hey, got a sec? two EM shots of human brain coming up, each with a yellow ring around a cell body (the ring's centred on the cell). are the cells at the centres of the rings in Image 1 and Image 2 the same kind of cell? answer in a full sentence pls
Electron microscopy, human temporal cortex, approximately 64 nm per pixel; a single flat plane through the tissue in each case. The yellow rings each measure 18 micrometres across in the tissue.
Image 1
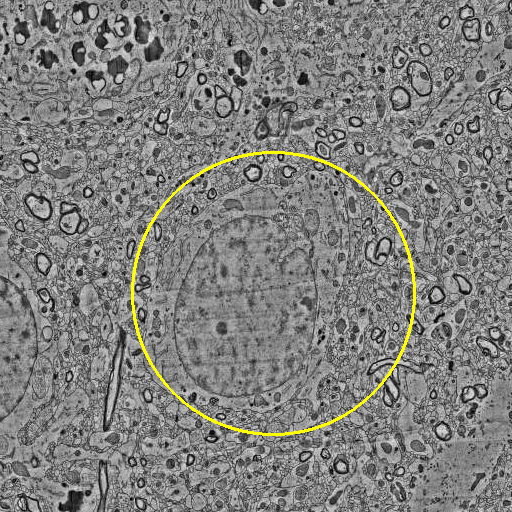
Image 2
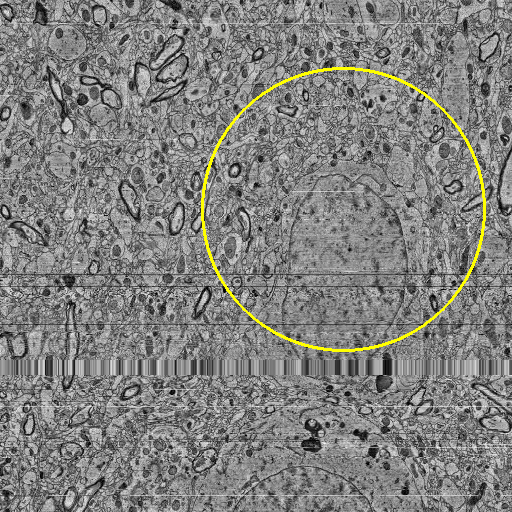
Yes, both are the same kind of cell.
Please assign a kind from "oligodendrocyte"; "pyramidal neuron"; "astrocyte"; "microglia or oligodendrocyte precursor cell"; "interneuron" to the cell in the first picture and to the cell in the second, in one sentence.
The first and the second cell are each an interneuron.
